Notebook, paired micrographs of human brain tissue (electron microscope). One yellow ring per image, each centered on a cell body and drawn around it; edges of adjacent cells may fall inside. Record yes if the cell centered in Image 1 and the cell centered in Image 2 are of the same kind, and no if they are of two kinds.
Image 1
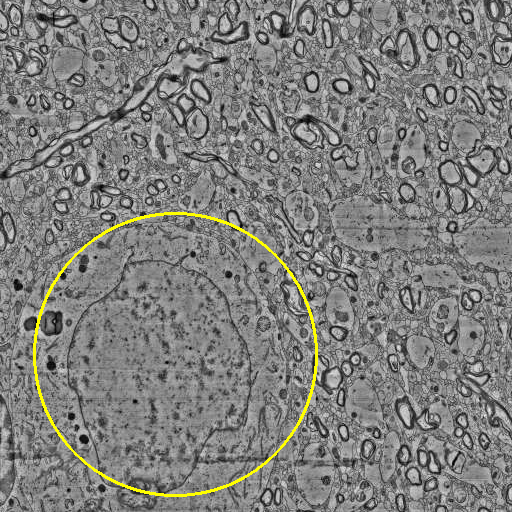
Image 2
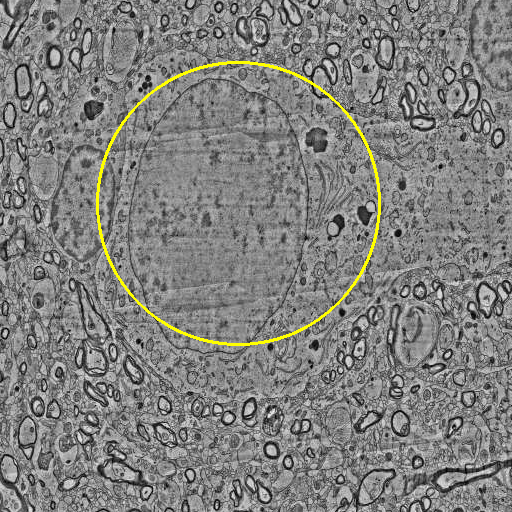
yes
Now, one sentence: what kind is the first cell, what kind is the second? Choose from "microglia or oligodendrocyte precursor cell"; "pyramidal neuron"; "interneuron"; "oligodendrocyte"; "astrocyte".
Each of the two rings is centred on a pyramidal neuron.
